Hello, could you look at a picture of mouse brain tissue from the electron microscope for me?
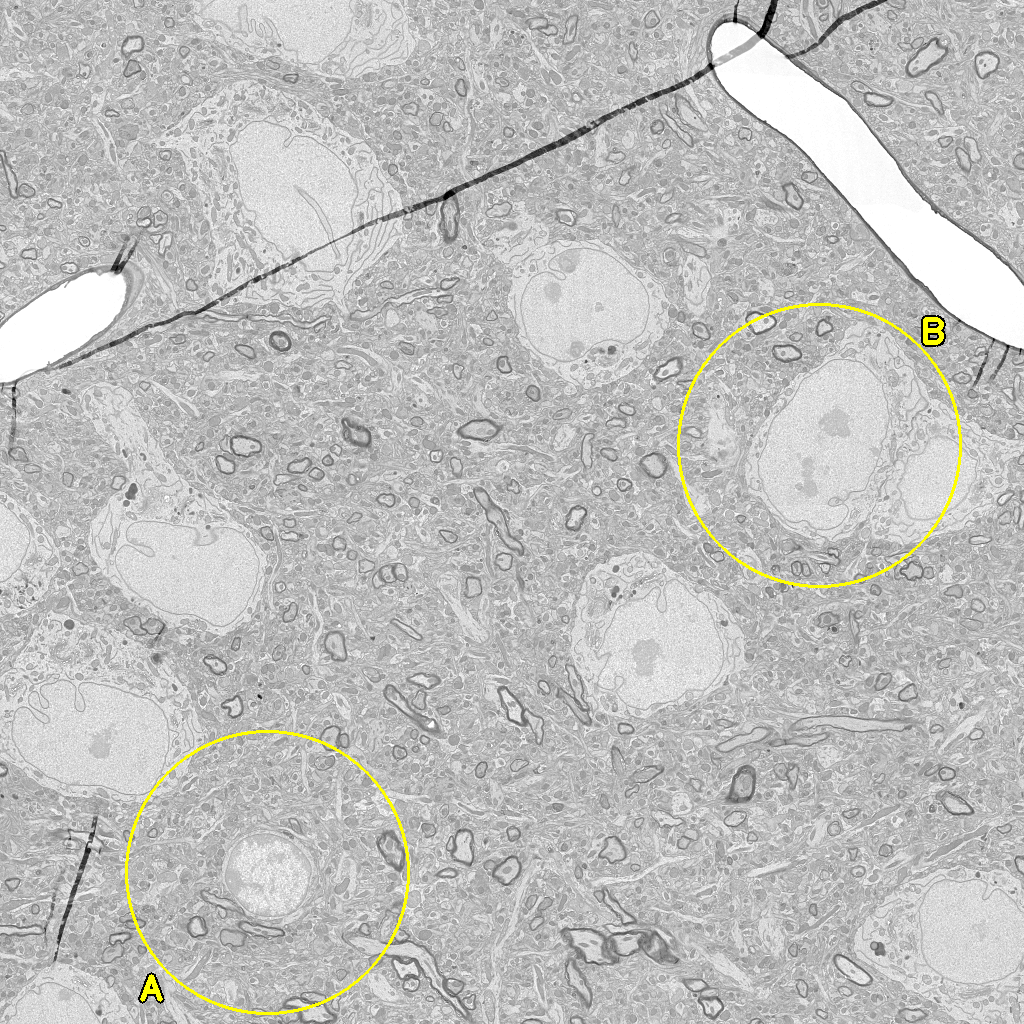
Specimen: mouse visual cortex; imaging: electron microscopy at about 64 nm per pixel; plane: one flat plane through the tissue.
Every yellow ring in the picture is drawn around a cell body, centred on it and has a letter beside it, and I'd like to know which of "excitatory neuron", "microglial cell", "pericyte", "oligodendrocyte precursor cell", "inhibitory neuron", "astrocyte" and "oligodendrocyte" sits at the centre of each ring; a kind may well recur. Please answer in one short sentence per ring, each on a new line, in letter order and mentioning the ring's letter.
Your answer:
The cell sitting at the centre of ring A is an oligodendrocyte.
The cell sitting at the centre of ring B is an excitatory neuron.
